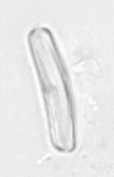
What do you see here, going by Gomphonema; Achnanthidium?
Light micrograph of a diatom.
I see Achnanthidium.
